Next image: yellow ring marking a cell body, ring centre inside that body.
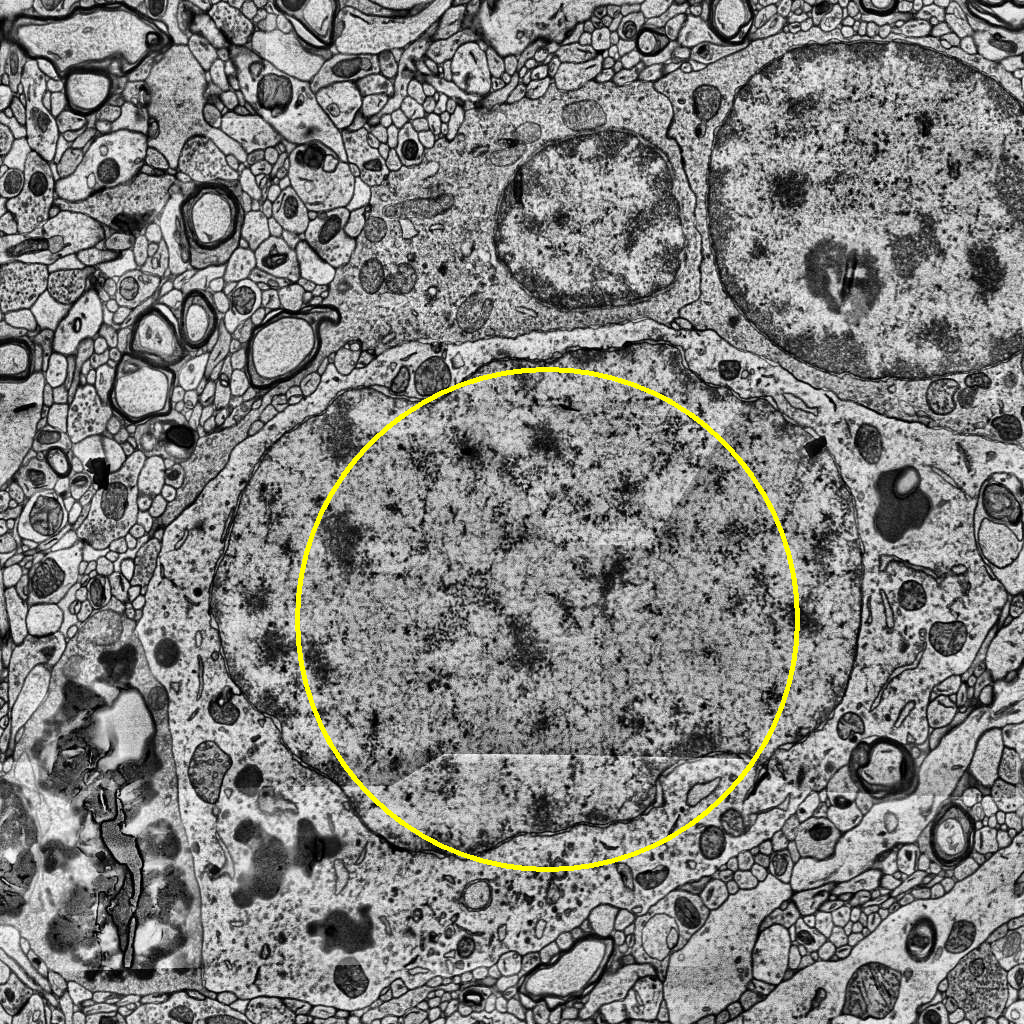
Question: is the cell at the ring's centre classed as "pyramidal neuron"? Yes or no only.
no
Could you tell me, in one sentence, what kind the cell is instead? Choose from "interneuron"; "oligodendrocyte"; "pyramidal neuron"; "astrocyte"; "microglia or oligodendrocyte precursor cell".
The cell circled by the yellow ring is an interneuron.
